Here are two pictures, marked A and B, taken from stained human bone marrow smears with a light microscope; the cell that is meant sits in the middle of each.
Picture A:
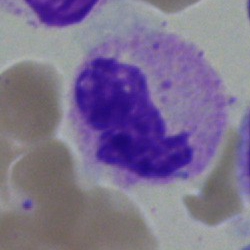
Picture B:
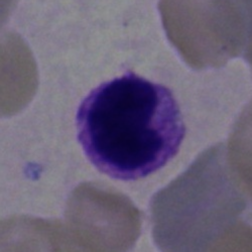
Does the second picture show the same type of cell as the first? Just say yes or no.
yes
